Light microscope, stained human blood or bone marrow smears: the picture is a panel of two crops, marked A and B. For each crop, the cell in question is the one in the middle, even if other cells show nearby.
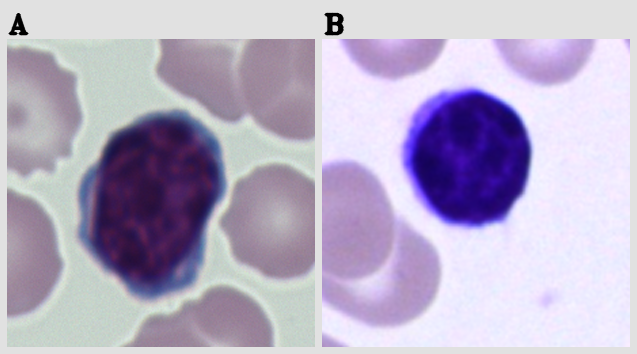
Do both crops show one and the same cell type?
yes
